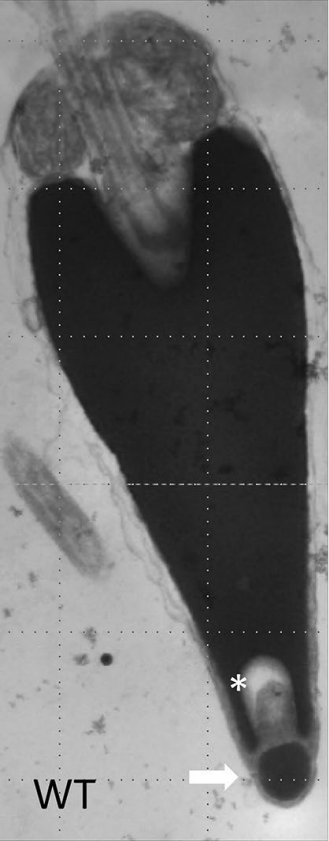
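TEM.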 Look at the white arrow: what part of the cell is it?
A: acrosome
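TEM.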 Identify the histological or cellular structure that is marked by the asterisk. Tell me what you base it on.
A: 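A pale, rounded invagination lies within the dark nucleus near its tip. It sits just behind the dense apical body. On this evidence: fossa.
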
